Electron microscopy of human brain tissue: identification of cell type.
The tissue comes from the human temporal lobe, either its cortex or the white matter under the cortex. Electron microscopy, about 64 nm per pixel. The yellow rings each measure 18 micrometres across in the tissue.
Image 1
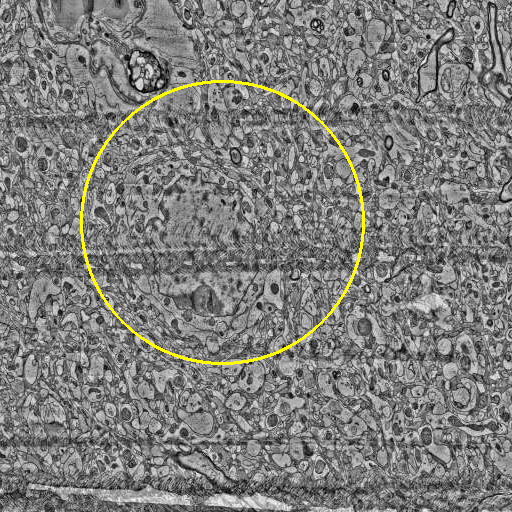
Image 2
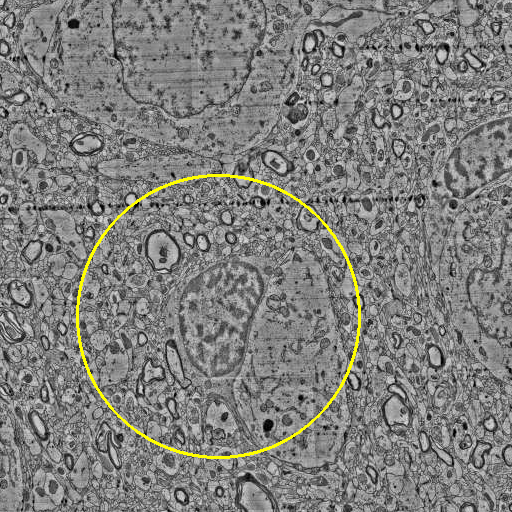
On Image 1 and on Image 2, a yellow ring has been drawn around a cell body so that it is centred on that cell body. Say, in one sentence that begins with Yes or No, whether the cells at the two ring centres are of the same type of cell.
No, the two cells are two separate types of cell.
